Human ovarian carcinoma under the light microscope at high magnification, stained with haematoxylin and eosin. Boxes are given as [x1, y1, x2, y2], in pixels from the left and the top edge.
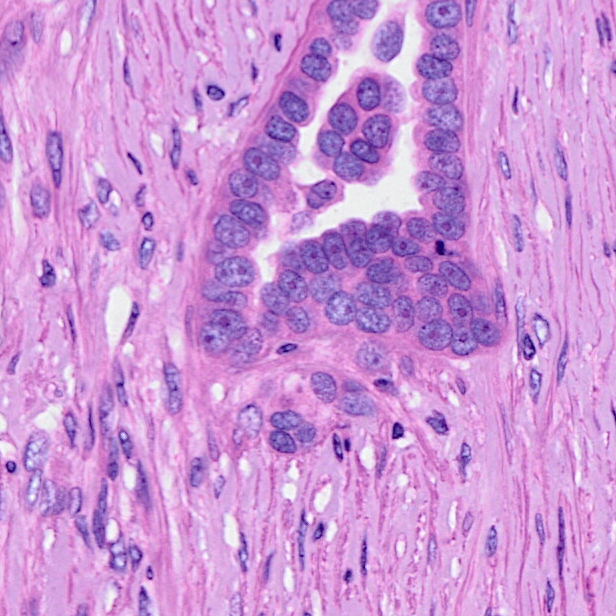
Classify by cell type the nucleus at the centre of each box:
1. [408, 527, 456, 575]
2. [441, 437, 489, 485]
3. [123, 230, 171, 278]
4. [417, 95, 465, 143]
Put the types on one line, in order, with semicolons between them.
fibroblast; fibroblast; fibroblast; carcinoma cell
